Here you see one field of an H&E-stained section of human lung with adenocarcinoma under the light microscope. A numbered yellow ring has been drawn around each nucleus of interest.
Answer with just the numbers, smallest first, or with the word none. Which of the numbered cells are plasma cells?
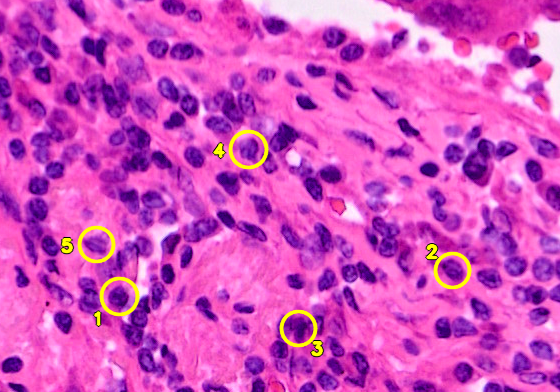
2, 3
